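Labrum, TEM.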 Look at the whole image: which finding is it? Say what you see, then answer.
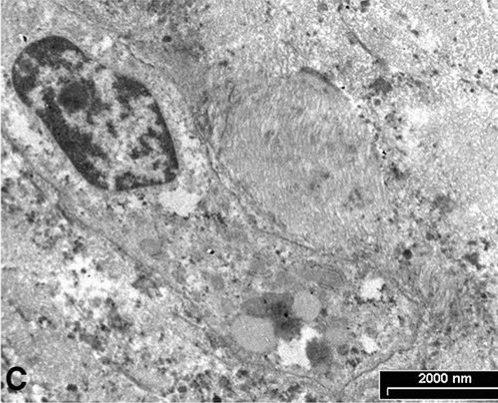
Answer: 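Large areas of condensed chromatin. The nucleus at upper left is dark with large dense chromatin clumps. Dense chromatin covers much of the nucleus, especially along its rim.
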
